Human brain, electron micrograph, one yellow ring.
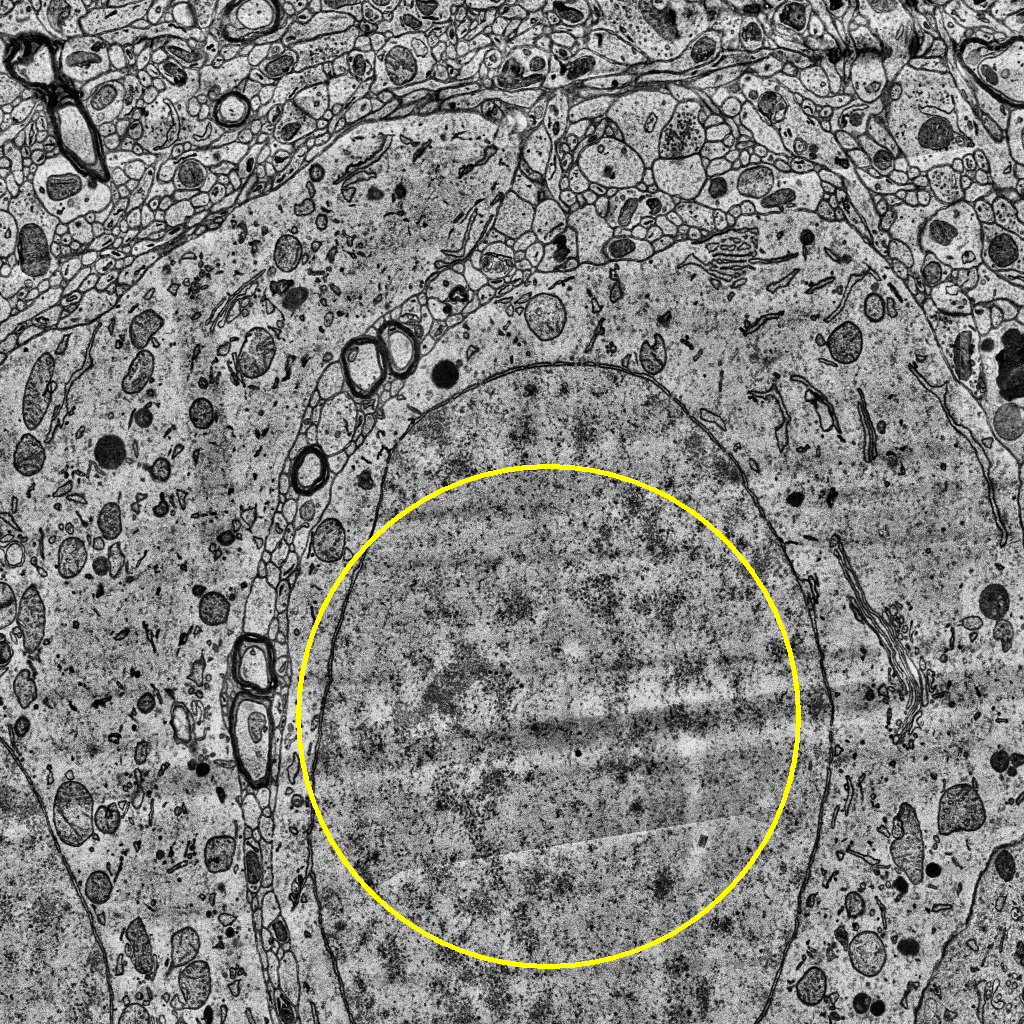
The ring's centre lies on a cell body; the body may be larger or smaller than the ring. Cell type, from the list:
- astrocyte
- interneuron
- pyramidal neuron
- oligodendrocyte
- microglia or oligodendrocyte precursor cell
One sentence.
The yellow ring's centre lies on a pyramidal neuron.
